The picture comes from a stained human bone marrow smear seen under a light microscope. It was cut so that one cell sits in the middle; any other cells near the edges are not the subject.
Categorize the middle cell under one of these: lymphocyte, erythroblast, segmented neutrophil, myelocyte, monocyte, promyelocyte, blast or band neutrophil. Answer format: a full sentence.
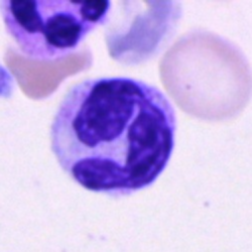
In the center of this field lies a segmented neutrophil.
